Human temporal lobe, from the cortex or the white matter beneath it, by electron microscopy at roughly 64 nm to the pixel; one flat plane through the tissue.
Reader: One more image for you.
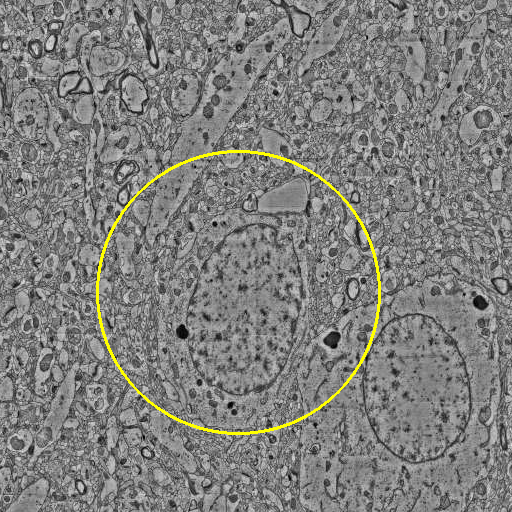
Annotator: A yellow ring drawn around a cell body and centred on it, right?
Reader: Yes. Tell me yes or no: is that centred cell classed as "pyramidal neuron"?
no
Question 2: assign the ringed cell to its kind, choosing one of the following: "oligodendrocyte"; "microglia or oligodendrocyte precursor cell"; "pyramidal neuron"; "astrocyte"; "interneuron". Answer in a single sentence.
Instead, the picture shows an interneuron at the centre of the ring.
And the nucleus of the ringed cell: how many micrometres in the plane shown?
About 11 by 7 micrometers, in this plane.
